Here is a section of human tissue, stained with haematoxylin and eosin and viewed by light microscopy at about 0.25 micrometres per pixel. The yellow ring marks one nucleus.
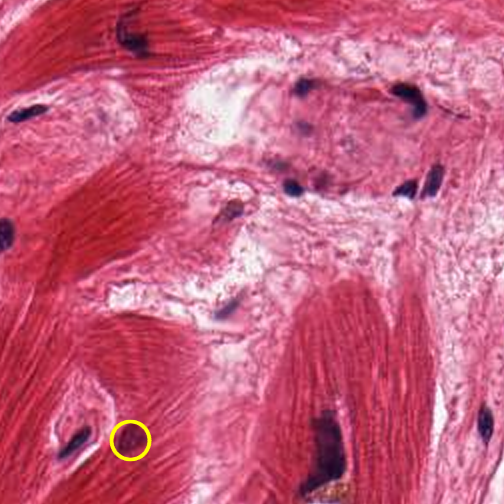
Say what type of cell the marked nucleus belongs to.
cardiomyocyte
